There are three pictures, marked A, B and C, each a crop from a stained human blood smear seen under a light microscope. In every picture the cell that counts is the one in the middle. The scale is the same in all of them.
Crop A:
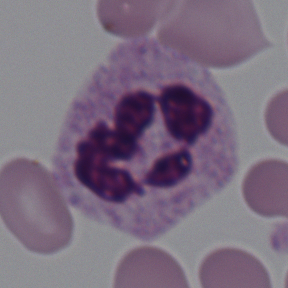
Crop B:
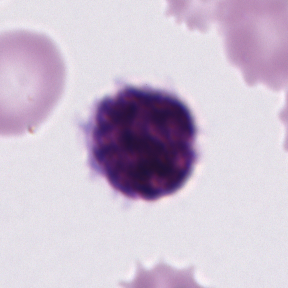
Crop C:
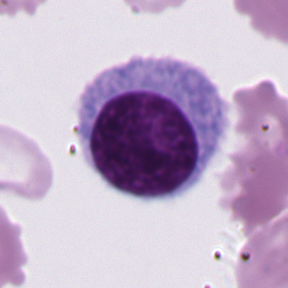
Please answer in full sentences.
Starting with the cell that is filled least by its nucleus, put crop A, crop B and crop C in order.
The least filled comes first: A, C, B.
